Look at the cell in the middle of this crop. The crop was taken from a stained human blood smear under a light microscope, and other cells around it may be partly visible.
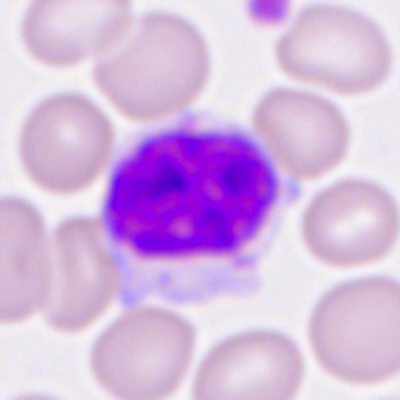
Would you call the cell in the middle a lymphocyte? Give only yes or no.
yes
